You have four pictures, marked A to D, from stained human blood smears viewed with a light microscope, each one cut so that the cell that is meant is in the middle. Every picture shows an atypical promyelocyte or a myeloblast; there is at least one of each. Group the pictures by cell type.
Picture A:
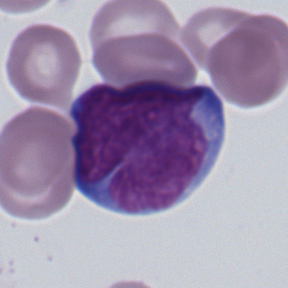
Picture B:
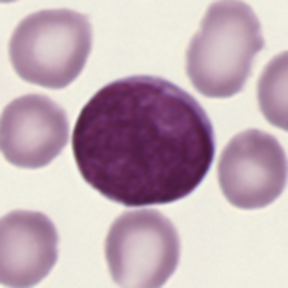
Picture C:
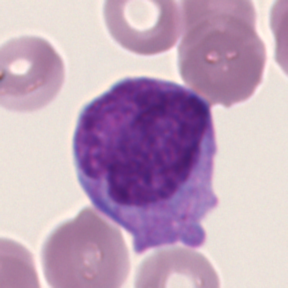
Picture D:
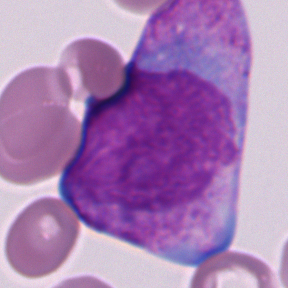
A: myeloblast
B: myeloblast
C: atypical promyelocyte
D: atypical promyelocyte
